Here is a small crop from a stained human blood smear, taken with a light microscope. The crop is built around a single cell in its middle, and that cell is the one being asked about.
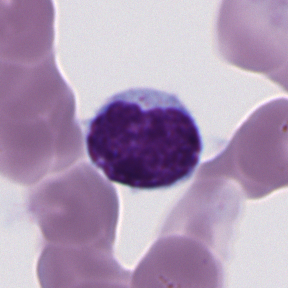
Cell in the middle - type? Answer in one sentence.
The central cell, amid any neighbouring cells, is a lymphocyte.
